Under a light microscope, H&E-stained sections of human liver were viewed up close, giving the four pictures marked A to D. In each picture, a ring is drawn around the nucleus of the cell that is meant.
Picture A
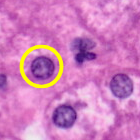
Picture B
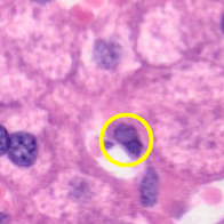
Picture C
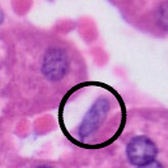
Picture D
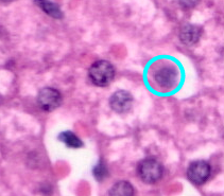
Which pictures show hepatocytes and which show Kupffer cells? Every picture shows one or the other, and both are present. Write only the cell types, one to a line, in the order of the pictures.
hepatocyte
Kupffer cell
Kupffer cell
Kupffer cell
